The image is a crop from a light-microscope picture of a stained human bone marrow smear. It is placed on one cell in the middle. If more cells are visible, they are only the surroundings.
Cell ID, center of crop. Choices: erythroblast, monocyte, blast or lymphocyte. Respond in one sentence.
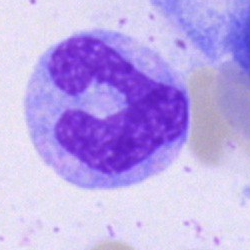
To answer, the cell in the center of the crop is a monocyte.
